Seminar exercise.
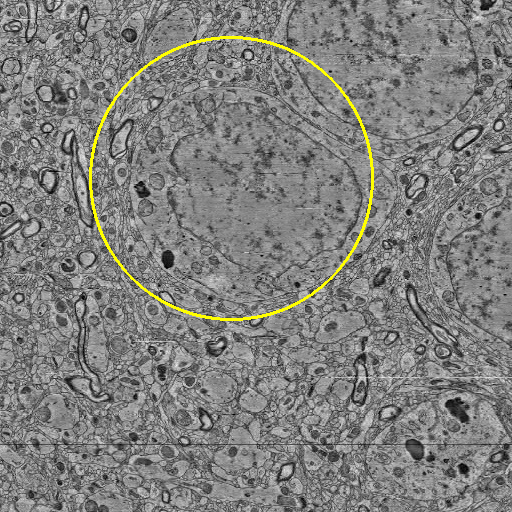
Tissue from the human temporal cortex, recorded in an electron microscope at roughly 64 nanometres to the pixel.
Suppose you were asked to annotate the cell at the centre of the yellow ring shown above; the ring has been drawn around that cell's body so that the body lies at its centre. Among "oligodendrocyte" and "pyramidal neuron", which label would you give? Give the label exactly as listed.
pyramidal neuron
